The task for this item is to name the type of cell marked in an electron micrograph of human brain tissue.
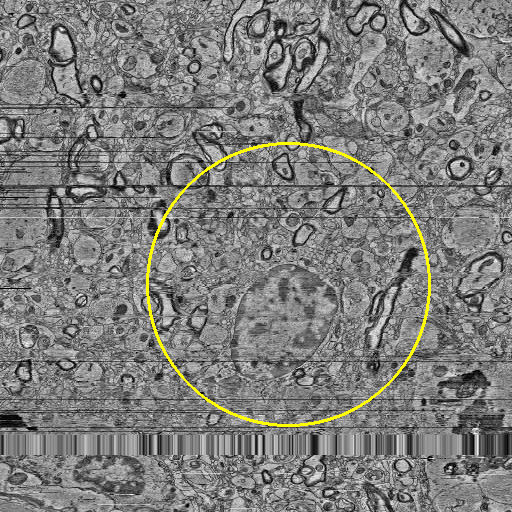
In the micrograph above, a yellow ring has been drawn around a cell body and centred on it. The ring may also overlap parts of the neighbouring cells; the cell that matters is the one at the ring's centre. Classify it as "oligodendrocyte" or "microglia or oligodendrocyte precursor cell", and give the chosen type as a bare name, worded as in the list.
microglia or oligodendrocyte precursor cell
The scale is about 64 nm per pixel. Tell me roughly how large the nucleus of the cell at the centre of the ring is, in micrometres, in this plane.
Roughly 7 by 6 micrometres in this plane, for the nucleus of the ringed cell.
